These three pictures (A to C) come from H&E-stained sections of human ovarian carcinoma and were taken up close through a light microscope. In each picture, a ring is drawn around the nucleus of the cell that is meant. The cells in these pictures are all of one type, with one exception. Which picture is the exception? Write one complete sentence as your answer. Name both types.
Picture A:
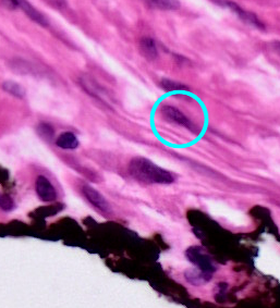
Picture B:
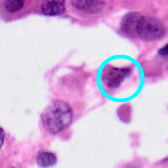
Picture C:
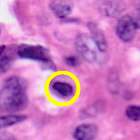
The different one is picture A; it shows a fibroblast, whereas all the others show “macrophages or monocytes”.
